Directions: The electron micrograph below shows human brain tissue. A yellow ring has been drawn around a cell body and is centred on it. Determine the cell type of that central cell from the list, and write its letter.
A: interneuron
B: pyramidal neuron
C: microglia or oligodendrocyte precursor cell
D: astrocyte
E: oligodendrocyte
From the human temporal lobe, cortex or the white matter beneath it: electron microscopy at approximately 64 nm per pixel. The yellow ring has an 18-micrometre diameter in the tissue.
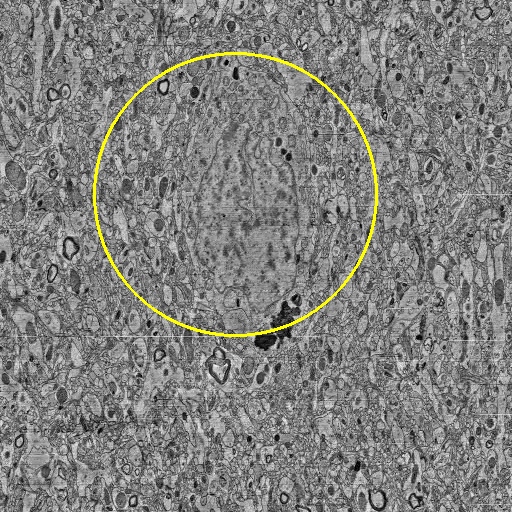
A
